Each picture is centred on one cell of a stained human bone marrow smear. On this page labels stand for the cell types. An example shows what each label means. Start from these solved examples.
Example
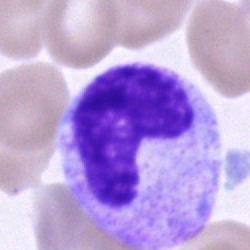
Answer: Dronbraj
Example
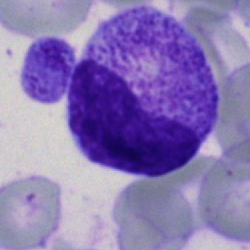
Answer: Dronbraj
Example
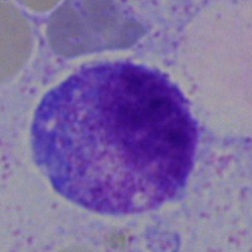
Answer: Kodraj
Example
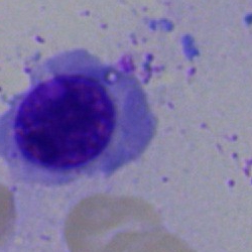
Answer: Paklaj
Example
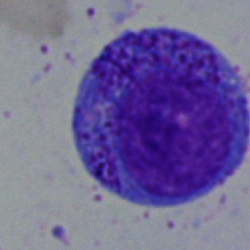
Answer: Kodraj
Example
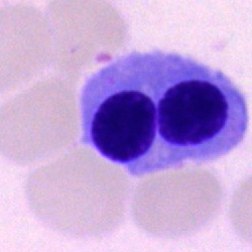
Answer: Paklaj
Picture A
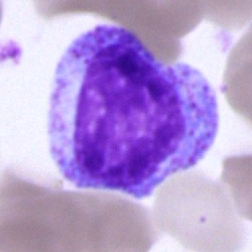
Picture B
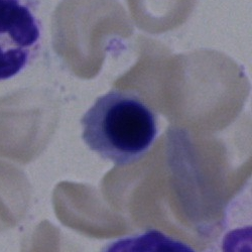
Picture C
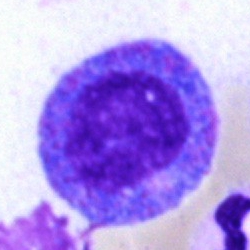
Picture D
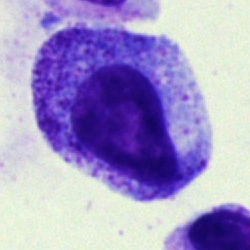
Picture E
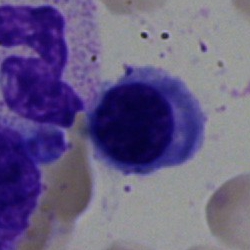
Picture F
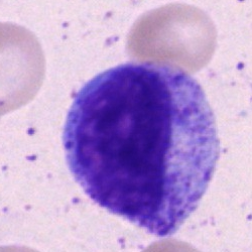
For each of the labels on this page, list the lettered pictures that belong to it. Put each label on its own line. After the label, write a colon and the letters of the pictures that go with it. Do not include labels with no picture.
Kodraj: A, C, D, F
Paklaj: B, E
